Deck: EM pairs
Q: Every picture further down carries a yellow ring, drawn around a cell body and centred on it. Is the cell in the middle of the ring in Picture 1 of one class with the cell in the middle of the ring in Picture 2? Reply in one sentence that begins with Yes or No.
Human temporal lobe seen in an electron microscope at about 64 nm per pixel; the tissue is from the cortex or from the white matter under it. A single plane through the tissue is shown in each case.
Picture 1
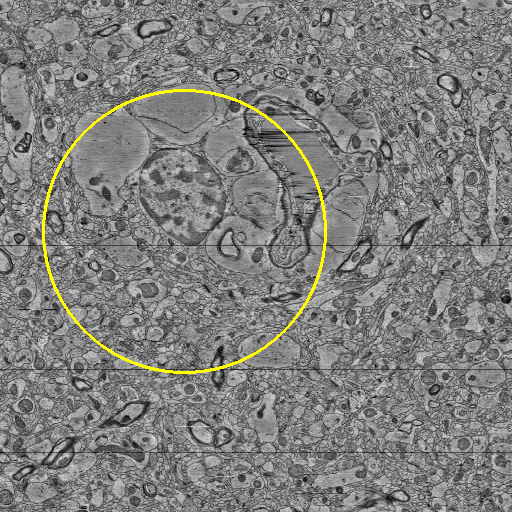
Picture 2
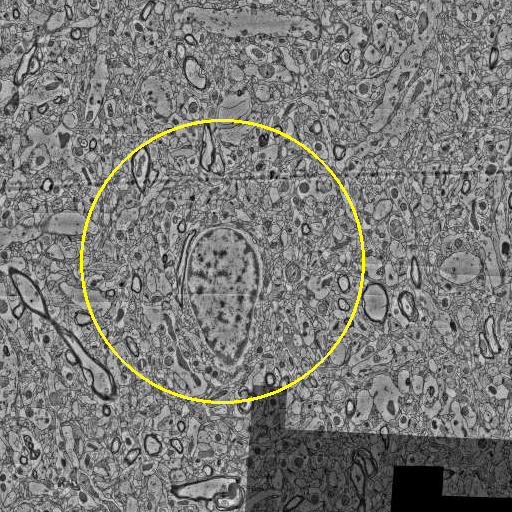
Yes, the cell centred in the ring of Picture 1 and the one in Picture 2 belong to one class.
